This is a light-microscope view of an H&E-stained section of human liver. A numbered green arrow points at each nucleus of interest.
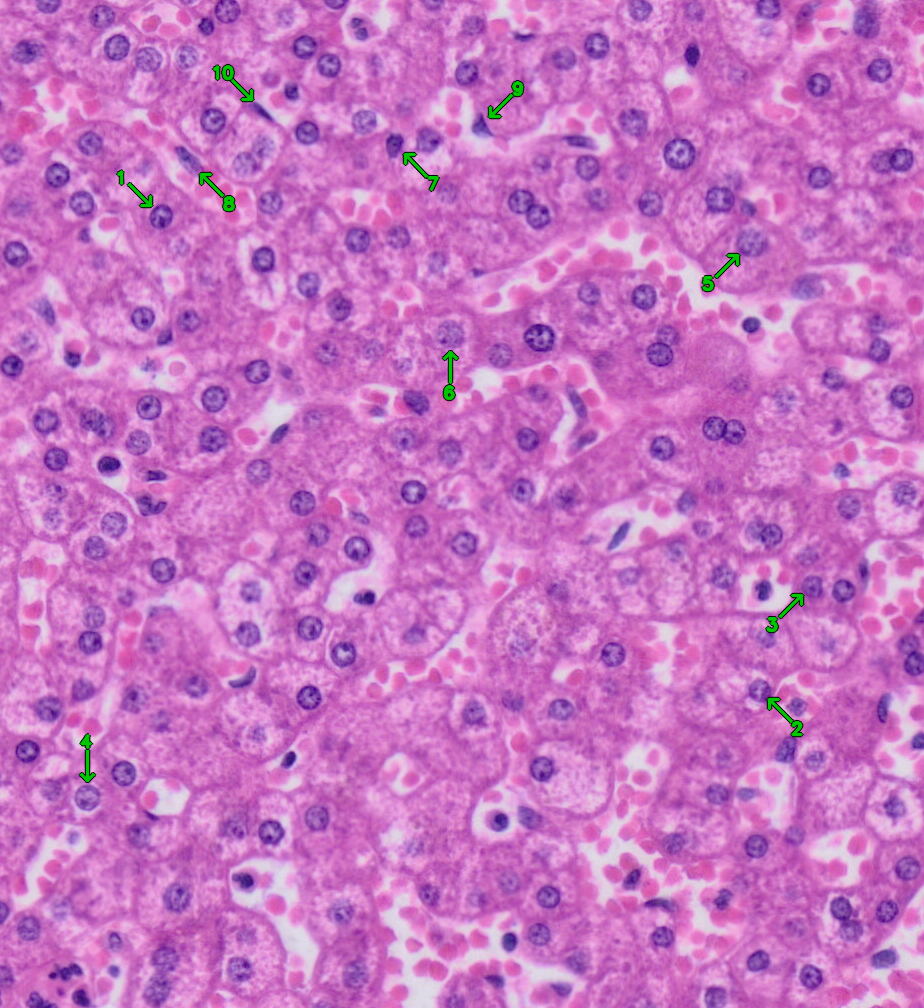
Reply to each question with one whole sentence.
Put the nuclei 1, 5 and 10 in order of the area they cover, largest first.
Going from the biggest nucleus down to the smallest gives 5, 1, 10.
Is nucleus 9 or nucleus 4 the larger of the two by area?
Nucleus 4 covers more area, about 2.5 times as much as nucleus 9.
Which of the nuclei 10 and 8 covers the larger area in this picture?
Of the two, number 8 is bigger and takes up about 2 times the area of number 10.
